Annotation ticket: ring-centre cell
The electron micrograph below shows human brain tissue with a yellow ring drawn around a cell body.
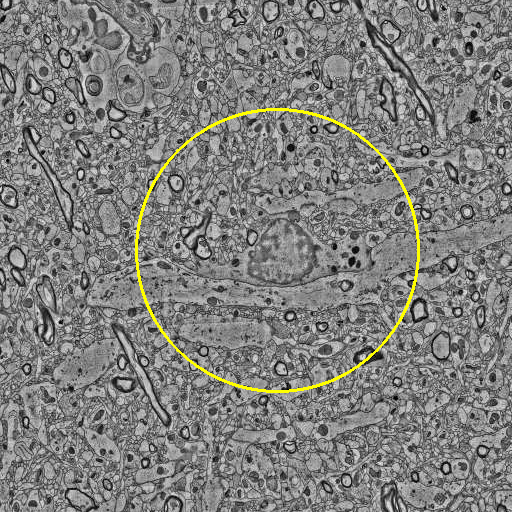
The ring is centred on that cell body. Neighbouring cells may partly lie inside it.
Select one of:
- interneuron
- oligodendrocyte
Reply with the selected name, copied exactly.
oligodendrocyte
